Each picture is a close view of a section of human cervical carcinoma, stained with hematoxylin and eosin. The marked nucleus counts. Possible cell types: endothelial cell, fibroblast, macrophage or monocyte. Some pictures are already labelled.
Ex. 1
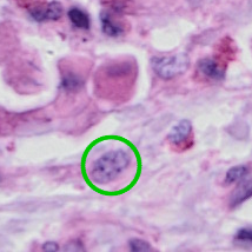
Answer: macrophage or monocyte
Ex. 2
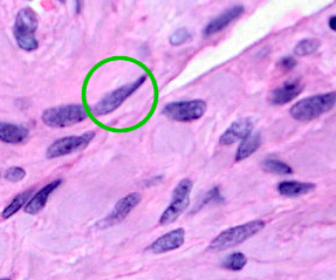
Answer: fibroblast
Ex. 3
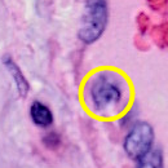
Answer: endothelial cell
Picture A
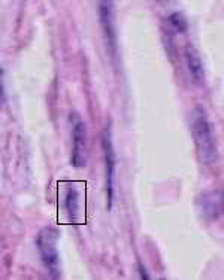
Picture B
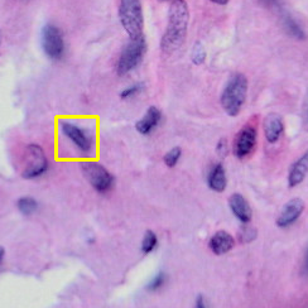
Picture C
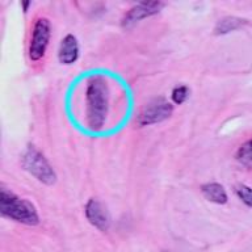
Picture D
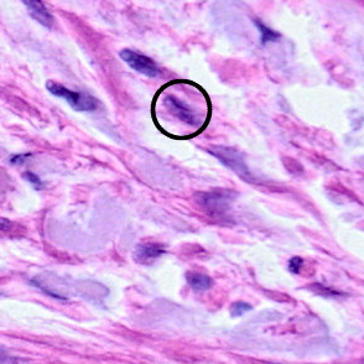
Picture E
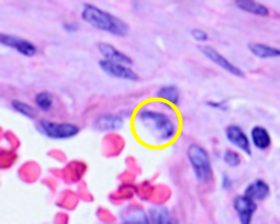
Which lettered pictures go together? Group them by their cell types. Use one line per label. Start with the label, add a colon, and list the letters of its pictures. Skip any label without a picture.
endothelial cell: E
fibroblast: A, B, C, D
